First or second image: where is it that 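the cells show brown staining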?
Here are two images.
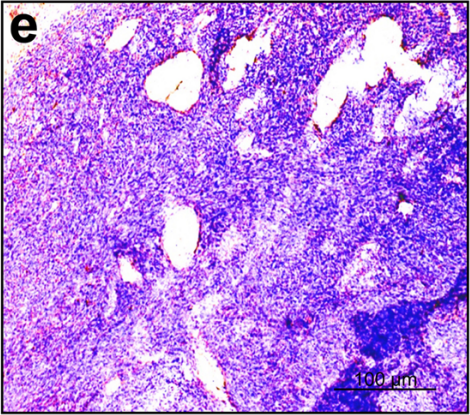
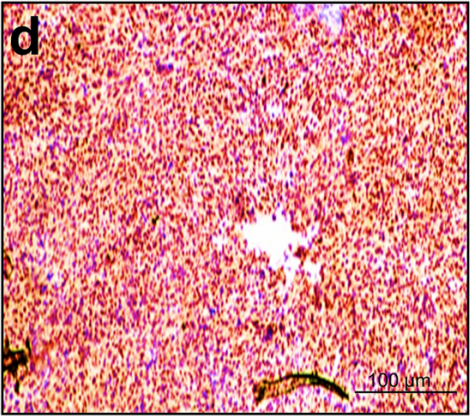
The second image.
